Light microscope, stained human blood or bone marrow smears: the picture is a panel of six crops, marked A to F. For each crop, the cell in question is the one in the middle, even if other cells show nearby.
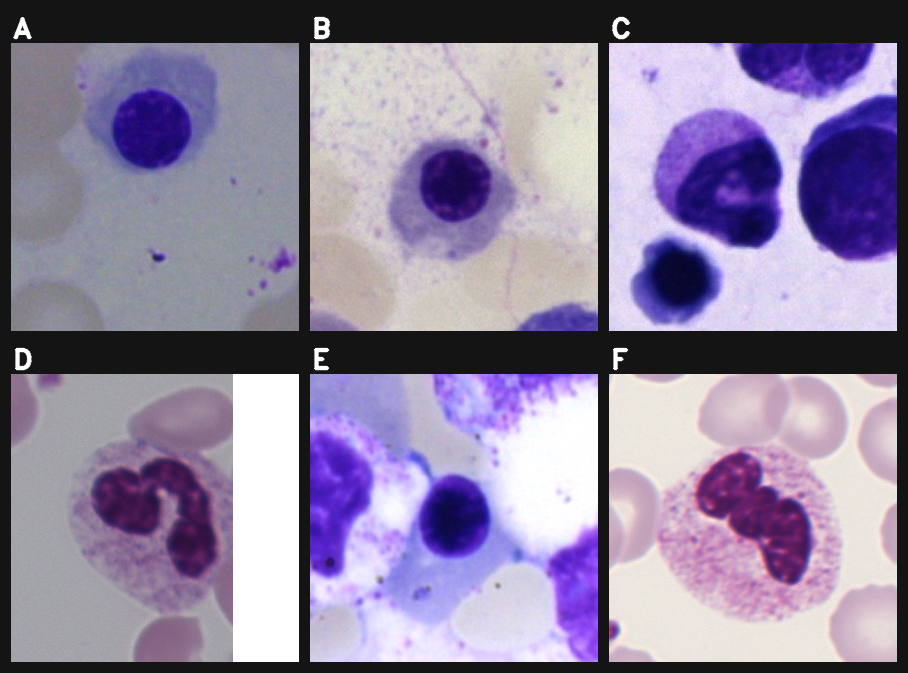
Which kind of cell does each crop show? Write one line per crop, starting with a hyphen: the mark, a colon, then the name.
- A: erythroblast
- B: erythroblast
- C: segmented neutrophil
- D: segmented neutrophil
- E: erythroblast
- F: segmented neutrophil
